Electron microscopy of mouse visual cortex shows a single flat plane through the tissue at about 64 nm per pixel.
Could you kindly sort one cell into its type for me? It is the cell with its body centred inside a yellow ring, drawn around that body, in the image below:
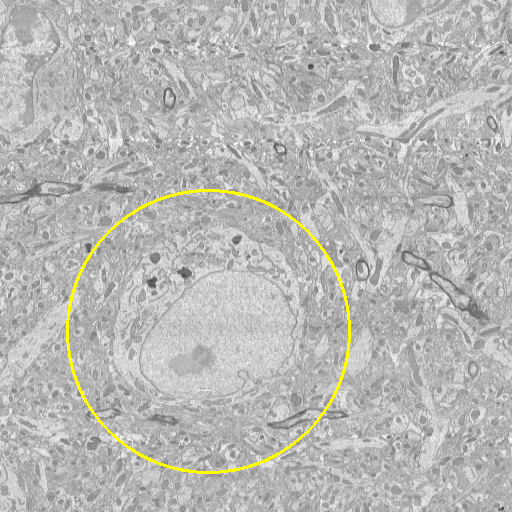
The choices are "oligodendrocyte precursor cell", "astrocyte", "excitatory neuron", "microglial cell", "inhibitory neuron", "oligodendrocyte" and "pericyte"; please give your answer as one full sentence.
The cell whose body lies centred in the yellow ring here is an inhibitory neuron.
